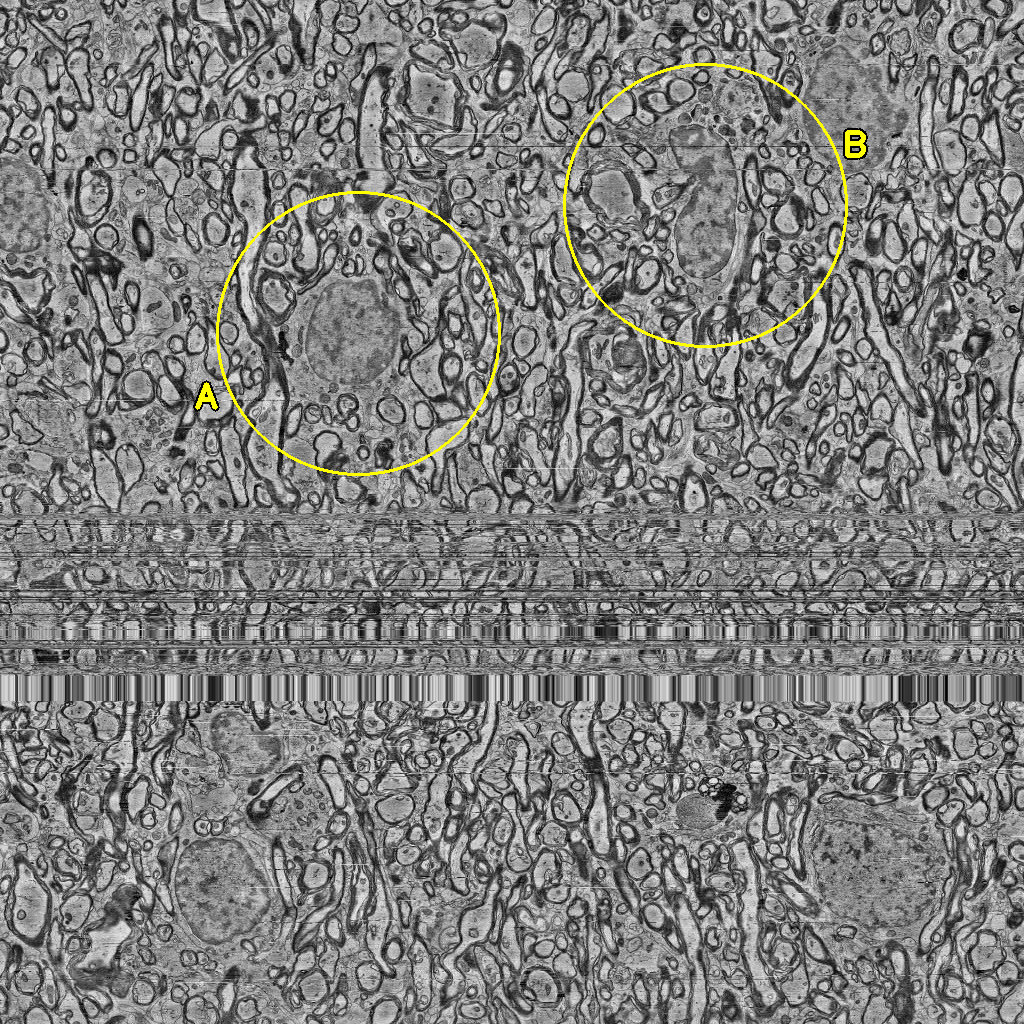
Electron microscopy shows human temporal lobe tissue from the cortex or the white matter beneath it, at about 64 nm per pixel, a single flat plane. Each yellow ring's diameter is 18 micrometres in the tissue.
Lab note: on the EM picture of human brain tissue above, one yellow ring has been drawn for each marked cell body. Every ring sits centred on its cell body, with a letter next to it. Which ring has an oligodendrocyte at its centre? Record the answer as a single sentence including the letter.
Noted: the cell in question is at the centre of ring A.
